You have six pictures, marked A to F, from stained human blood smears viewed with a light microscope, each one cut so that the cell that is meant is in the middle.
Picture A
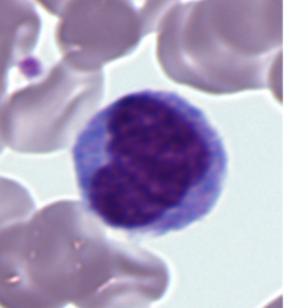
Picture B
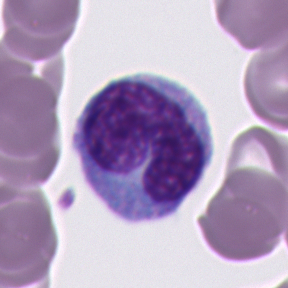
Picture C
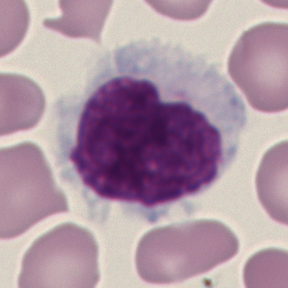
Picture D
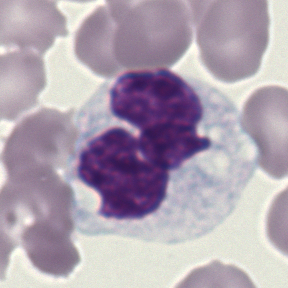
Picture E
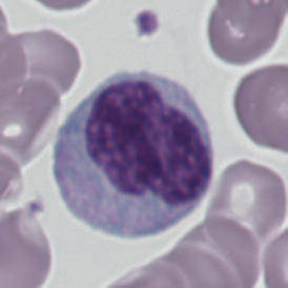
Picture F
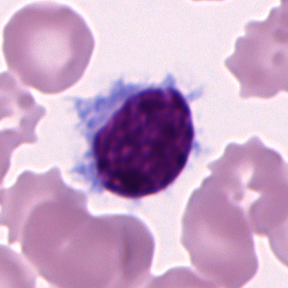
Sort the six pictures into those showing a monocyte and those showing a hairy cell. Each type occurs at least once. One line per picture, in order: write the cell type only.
monocyte
monocyte
hairy cell
monocyte
monocyte
hairy cell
